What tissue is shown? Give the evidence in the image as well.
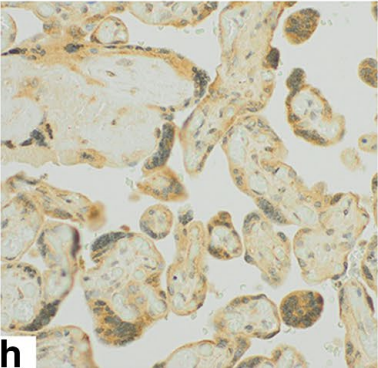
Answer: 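Rounded and branching villi float in clear spaces. Each villus has a loose core covered by a thin layer of cells with dark nuclei. Knot-like clusters of nuclei sit on the villous surface. The answer: placenta.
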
